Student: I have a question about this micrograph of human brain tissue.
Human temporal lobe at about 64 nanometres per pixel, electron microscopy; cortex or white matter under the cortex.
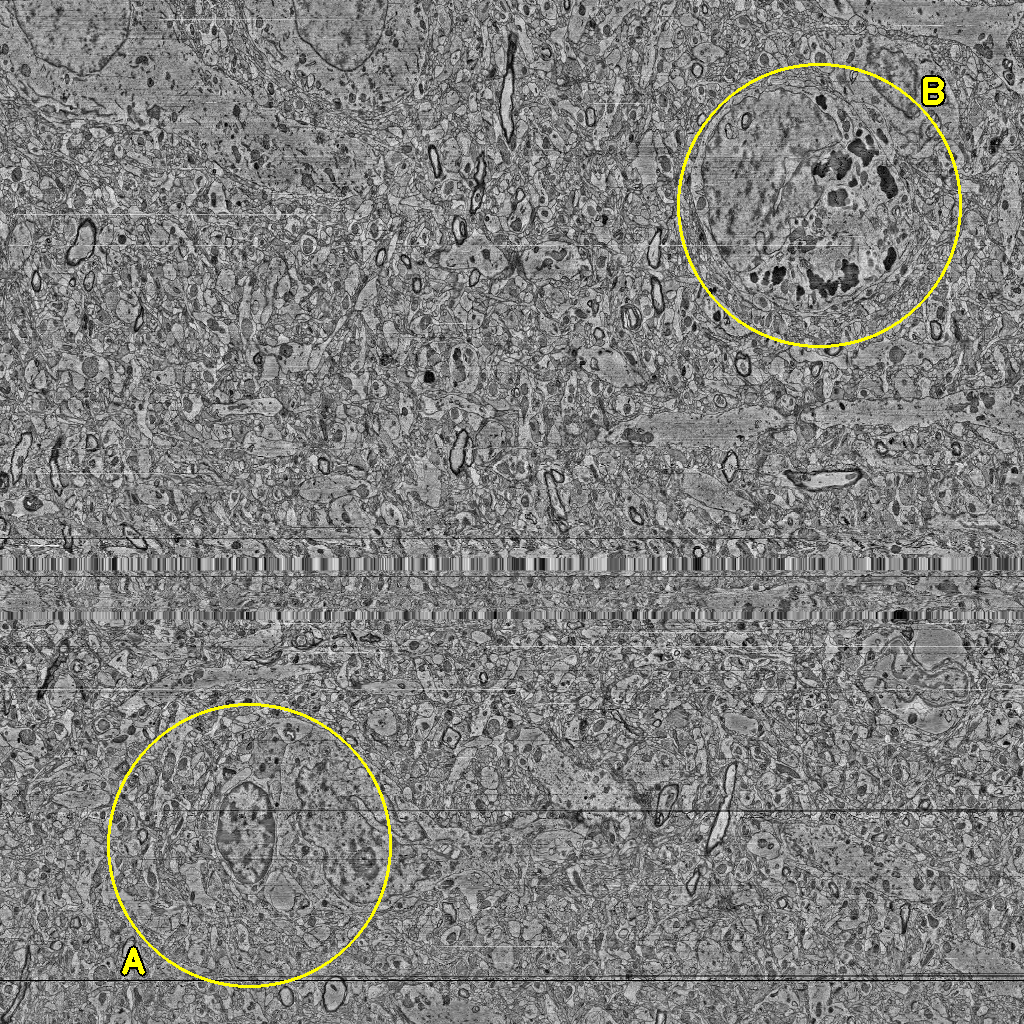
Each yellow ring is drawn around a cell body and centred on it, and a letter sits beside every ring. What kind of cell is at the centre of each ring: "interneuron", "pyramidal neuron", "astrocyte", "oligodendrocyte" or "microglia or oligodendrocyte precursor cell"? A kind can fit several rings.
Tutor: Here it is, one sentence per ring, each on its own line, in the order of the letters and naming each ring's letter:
For ring A, the cell at the centre is a microglial cell or oligodendrocyte precursor cell.
For ring B, the cell at the centre is an interneuron.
